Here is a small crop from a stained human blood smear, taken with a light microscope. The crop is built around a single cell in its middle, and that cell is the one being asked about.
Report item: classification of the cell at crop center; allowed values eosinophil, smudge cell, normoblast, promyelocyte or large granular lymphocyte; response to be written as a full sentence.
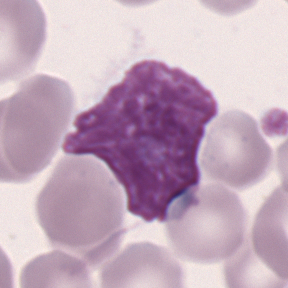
The middle of this crop is occupied by a smudge cell.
